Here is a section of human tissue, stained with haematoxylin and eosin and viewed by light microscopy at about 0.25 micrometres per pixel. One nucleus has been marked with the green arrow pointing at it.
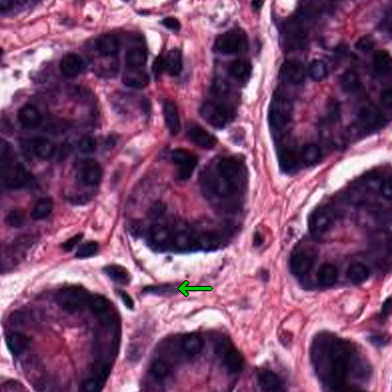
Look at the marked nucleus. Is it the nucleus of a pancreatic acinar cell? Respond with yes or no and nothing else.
no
